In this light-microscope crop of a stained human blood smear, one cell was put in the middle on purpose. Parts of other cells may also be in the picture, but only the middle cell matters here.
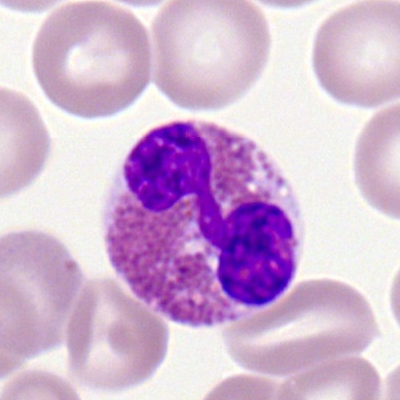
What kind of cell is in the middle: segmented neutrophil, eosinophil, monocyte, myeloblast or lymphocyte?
eosinophil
